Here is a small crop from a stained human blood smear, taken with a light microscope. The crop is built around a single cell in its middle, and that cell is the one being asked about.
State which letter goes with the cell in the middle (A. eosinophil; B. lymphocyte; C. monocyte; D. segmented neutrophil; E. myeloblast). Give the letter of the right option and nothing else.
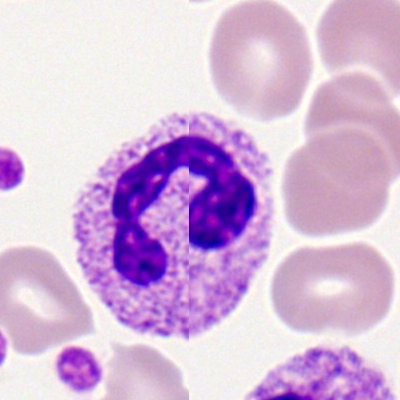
D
